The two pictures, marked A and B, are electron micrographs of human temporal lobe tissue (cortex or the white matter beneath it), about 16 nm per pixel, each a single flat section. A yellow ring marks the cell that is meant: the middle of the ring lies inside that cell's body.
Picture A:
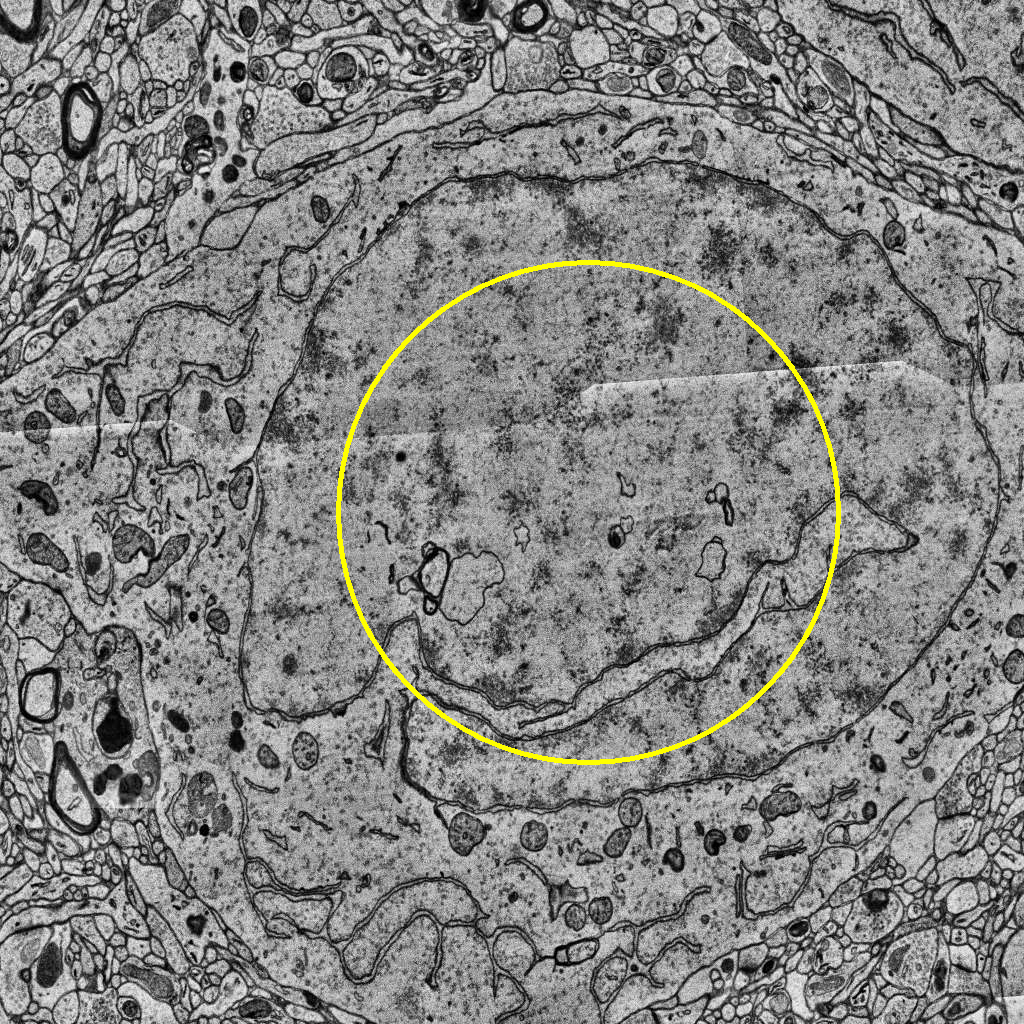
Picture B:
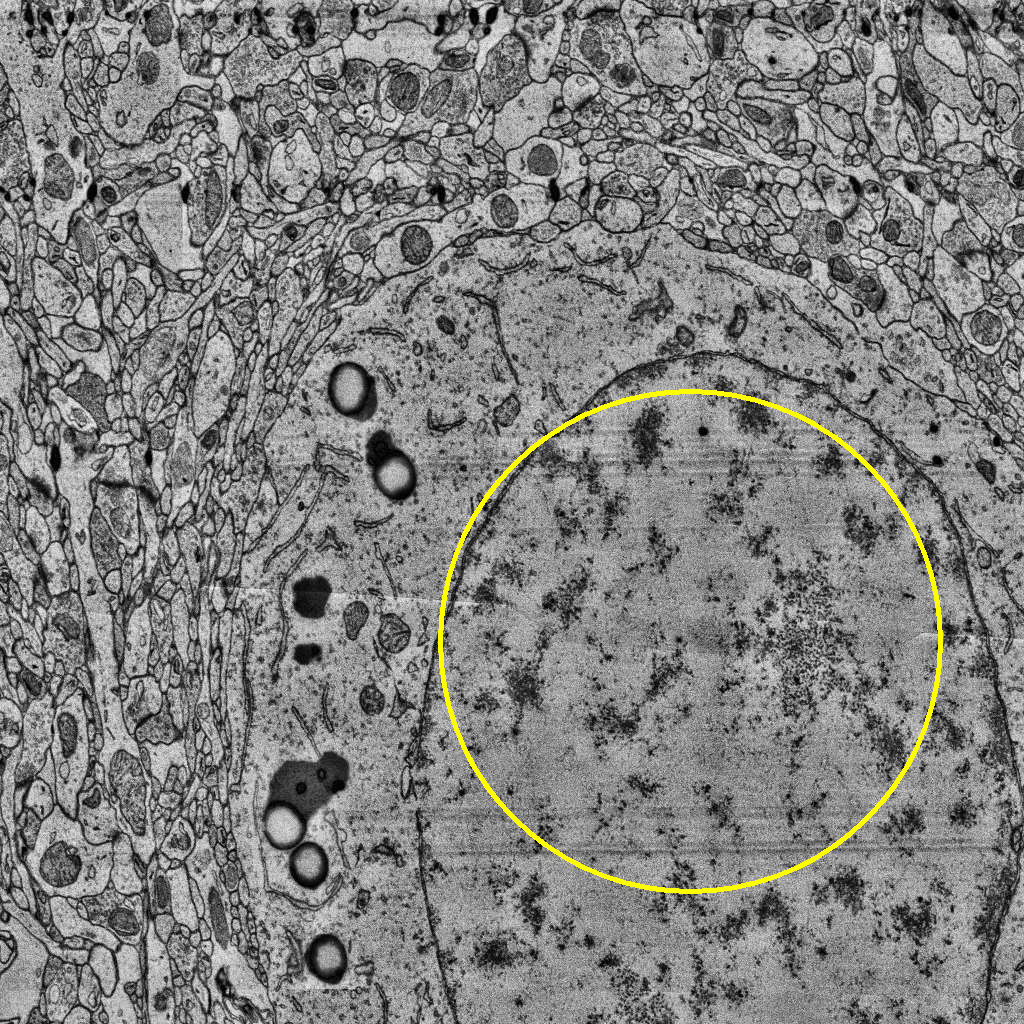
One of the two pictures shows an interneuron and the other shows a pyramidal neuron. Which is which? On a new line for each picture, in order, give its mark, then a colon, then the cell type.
A: interneuron
B: pyramidal neuron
